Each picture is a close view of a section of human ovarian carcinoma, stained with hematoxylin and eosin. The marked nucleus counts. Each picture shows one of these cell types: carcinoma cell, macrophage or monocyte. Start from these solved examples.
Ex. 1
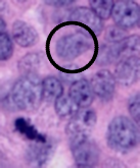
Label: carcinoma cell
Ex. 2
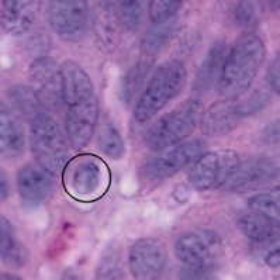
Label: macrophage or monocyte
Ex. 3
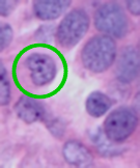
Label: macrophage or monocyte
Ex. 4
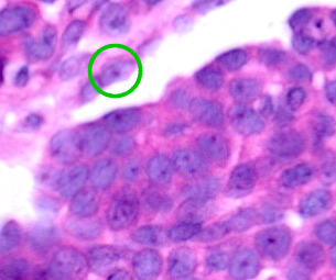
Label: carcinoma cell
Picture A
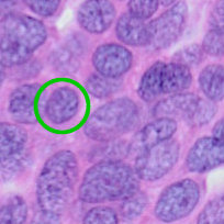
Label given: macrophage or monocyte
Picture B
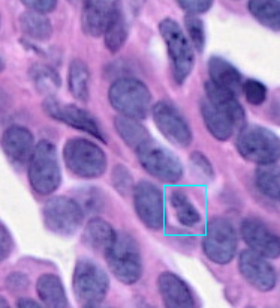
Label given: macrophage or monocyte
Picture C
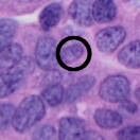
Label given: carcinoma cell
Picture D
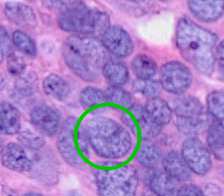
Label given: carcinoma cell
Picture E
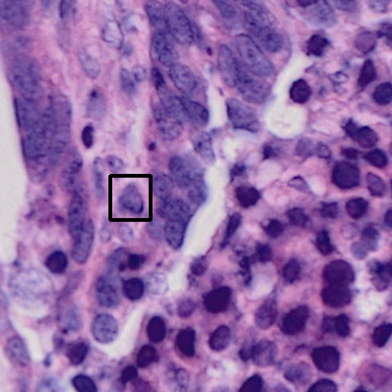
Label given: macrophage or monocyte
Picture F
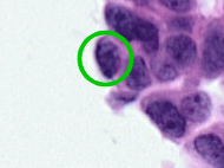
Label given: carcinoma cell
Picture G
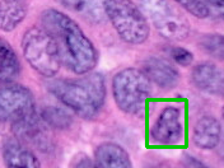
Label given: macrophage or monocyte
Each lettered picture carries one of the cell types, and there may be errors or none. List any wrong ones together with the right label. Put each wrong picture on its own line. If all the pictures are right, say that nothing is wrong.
A: change macrophage or monocyte to carcinoma cell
